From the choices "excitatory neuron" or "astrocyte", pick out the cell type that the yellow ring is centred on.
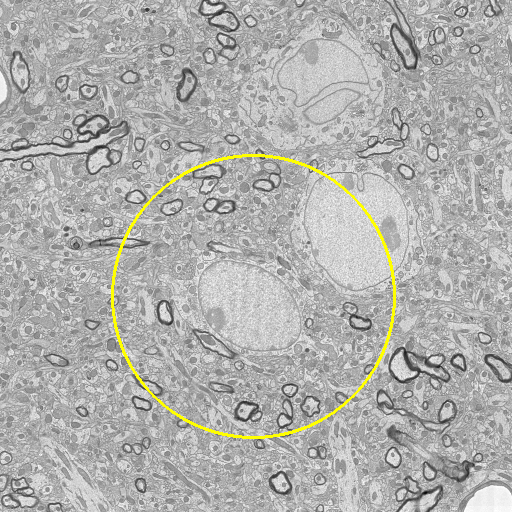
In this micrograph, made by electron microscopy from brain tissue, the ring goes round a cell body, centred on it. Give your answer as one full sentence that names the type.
The yellow ring is centred on an astrocyte, whose cell body it encircles in the picture.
